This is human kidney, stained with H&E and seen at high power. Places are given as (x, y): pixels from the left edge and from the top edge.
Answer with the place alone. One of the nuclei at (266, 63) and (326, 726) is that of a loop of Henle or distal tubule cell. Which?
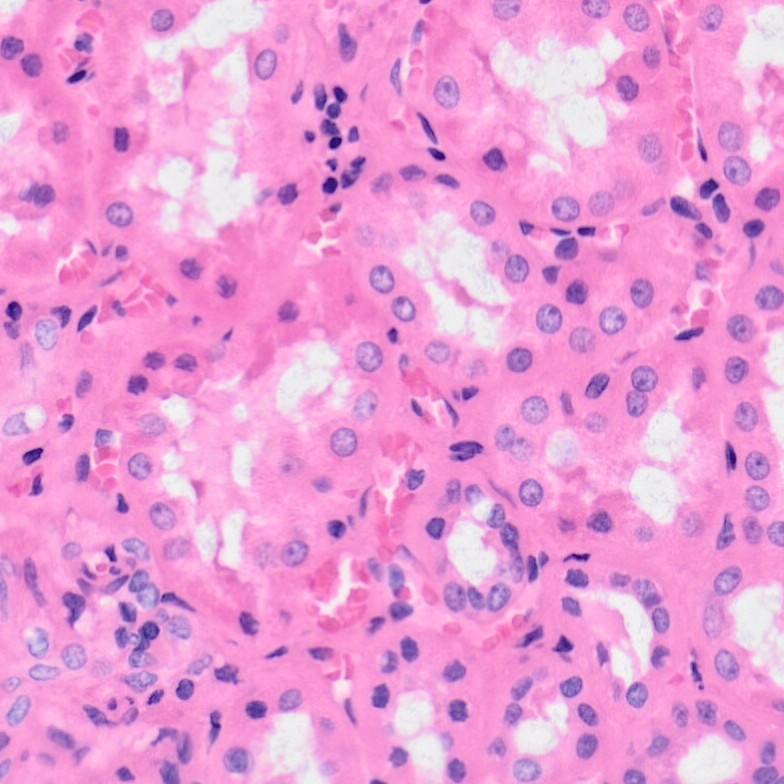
(326, 726)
